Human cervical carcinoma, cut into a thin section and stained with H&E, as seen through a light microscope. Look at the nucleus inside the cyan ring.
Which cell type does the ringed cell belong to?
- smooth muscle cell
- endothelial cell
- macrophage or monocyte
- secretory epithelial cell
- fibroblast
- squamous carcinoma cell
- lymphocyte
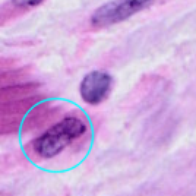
macrophage or monocyte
